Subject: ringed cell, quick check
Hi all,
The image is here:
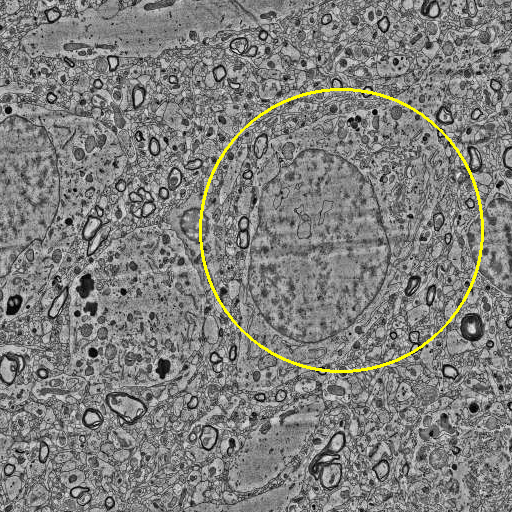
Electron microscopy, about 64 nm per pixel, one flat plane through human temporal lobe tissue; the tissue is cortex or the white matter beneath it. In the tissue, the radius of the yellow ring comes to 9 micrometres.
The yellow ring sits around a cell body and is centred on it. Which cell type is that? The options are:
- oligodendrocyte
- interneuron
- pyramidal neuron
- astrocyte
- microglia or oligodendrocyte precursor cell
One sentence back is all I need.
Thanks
That ringed cell is an interneuron.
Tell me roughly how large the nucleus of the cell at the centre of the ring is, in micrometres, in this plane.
The ringed cell's nucleus measures approximately 12 by 9 micrometres in this plane.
